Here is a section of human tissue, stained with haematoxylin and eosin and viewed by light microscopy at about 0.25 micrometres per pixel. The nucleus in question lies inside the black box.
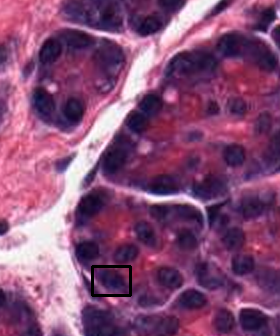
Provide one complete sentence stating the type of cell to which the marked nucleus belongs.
Belonging to a pancreatic acinar cell is the marked nucleus.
